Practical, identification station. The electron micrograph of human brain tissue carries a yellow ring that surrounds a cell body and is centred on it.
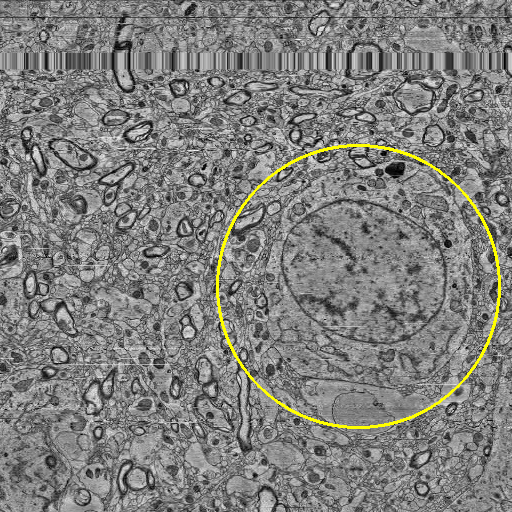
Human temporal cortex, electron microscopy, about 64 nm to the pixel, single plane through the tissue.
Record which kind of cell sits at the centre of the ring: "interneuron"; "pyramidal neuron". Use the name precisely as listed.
pyramidal neuron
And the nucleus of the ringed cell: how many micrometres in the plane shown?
In this plane, roughly 11 by 9 micrometres.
